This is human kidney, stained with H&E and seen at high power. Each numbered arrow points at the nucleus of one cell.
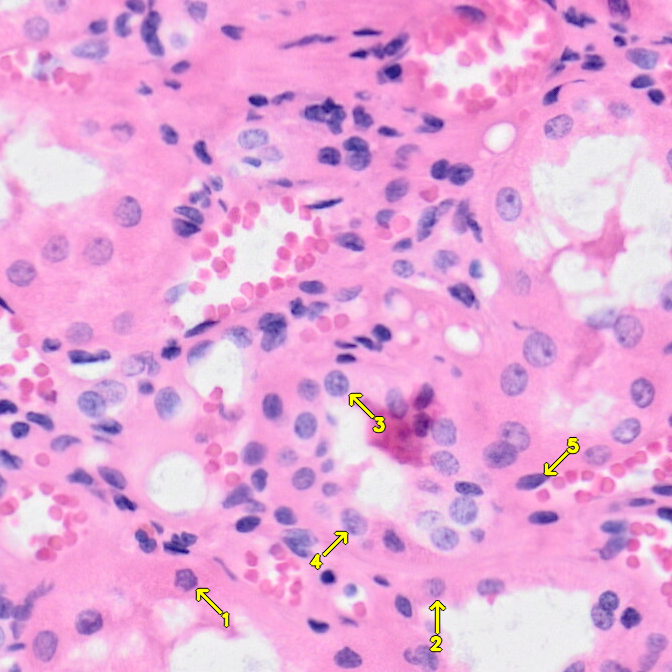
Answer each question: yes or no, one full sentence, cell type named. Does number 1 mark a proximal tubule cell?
Yes, exactly, the cell numbered 1 is a proximal tubule cell.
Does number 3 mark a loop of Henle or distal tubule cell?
No, the cell under number 3 is a collecting duct cell, not a loop of Henle or distal tubule cell.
